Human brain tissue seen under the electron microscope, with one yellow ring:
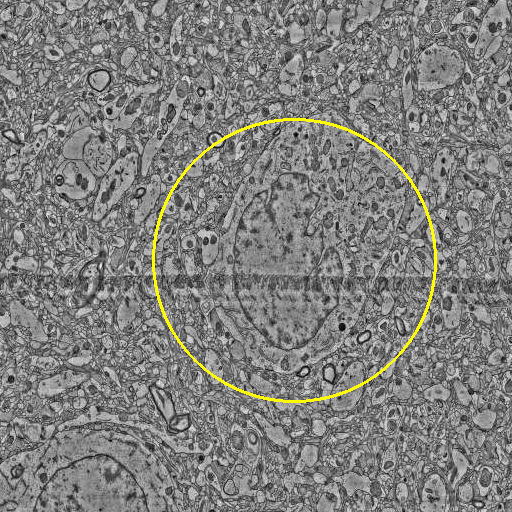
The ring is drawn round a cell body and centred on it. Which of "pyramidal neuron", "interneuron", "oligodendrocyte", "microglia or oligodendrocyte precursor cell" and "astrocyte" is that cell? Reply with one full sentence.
The picture shows an interneuron at the very centre of the yellow ring.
